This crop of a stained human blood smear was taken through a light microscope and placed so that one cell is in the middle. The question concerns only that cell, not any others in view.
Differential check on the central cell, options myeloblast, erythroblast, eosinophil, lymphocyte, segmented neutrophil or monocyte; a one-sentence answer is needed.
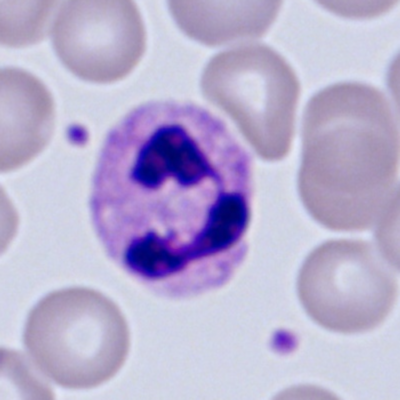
Within this crop, a segmented neutrophil occupies the central position.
